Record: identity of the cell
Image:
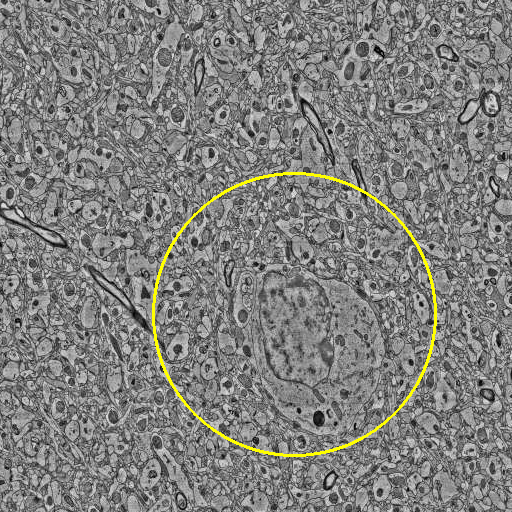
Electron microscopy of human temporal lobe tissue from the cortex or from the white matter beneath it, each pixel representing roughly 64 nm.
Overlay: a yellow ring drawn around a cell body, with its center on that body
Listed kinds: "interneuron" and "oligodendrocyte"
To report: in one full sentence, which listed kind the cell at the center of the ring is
In the image, the cell body at the ring's center belongs to an interneuron.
